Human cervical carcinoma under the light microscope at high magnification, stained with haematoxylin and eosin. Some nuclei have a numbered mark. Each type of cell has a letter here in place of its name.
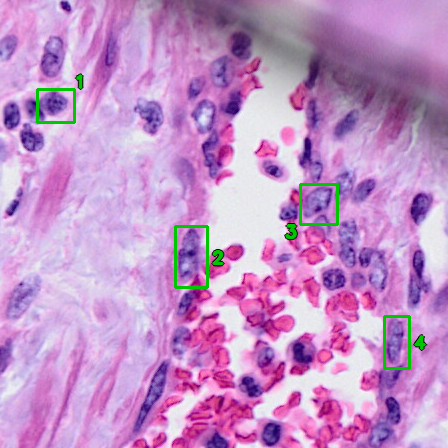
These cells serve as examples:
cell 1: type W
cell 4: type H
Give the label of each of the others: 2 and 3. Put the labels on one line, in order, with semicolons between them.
type H; type H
